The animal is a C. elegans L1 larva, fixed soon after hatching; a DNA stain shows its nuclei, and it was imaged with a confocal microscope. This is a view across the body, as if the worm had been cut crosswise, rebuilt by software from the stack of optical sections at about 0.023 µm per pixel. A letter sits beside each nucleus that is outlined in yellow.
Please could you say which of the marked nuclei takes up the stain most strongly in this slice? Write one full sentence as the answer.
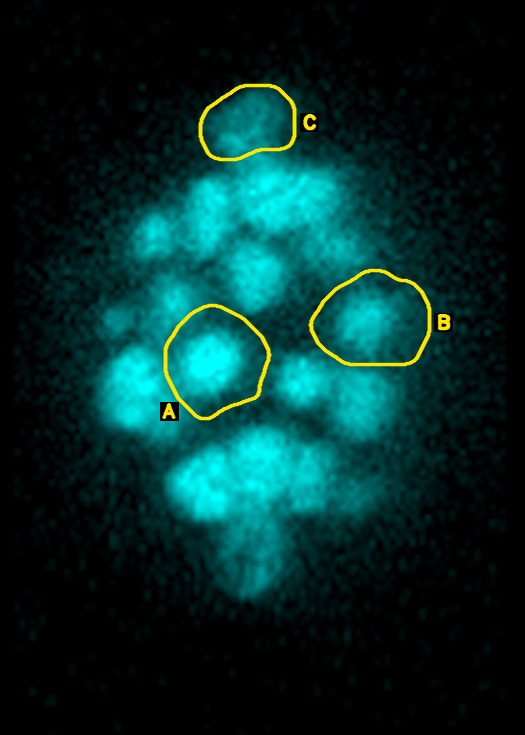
Of the marked nuclei, A takes up the stain most strongly.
